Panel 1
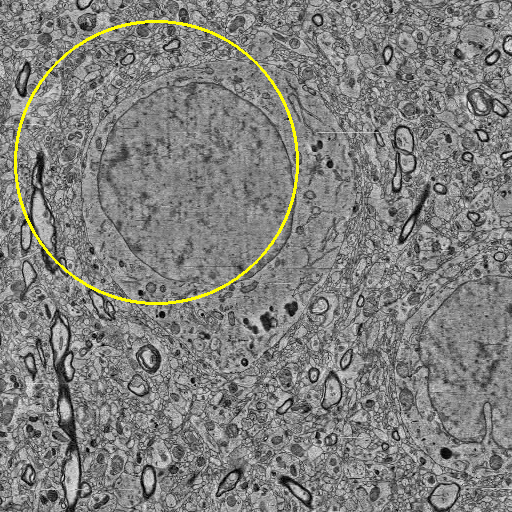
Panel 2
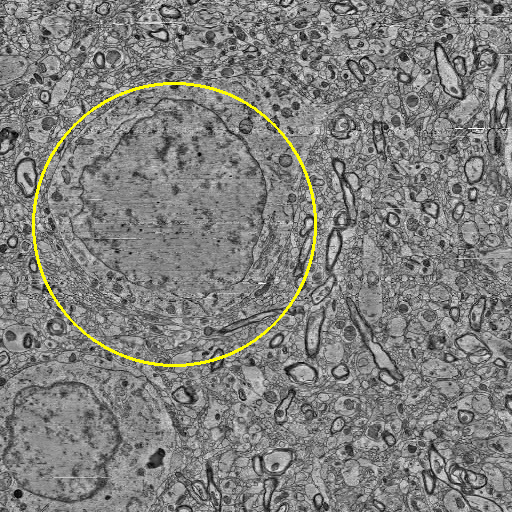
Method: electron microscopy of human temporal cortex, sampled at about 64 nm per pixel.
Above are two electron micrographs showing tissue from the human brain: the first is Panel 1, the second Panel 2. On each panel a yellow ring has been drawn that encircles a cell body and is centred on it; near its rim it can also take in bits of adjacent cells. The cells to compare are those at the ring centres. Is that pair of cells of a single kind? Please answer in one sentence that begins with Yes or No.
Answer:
Yes, the ring-centred cells of Panel 1 and Panel 2 belong to one kind.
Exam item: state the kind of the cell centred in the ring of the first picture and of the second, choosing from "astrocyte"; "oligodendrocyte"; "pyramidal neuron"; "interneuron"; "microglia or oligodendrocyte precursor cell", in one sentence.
The ring centre holds a pyramidal neuron in each of the two pictures.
